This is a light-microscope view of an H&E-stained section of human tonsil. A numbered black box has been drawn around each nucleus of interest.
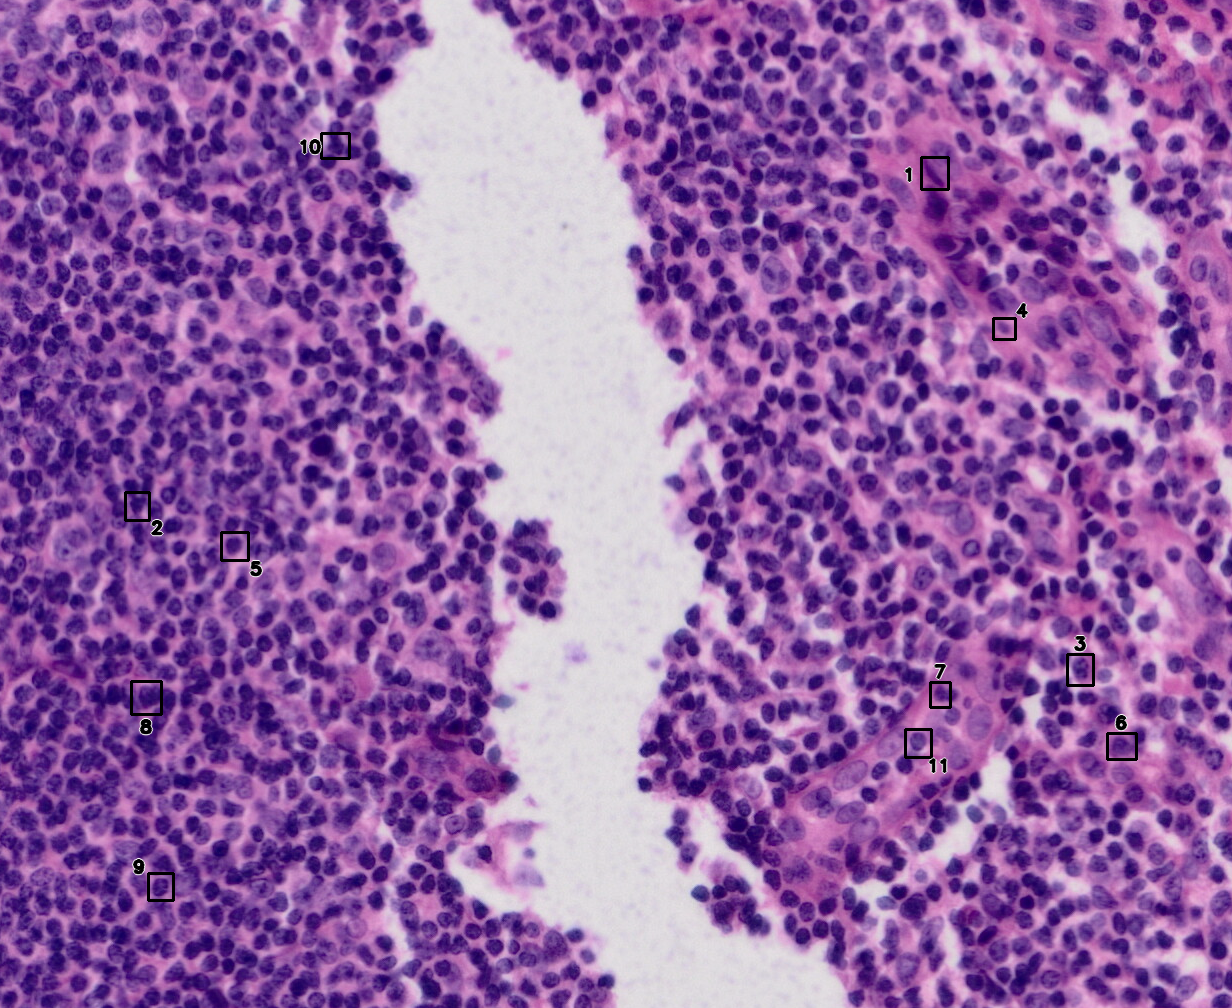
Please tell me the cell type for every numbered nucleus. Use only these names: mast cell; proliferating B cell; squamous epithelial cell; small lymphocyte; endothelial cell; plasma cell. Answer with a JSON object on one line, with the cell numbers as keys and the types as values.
{"1": "endothelial cell", "2": "small lymphocyte", "3": "plasma cell", "4": "endothelial cell", "5": "small lymphocyte", "6": "plasma cell", "7": "endothelial cell", "8": "small lymphocyte", "9": "small lymphocyte", "10": "small lymphocyte", "11": "endothelial cell"}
